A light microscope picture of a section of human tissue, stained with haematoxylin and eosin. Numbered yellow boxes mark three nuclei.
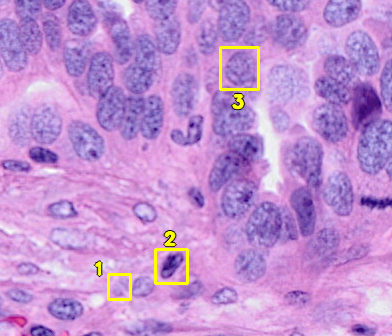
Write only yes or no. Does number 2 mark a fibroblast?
no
